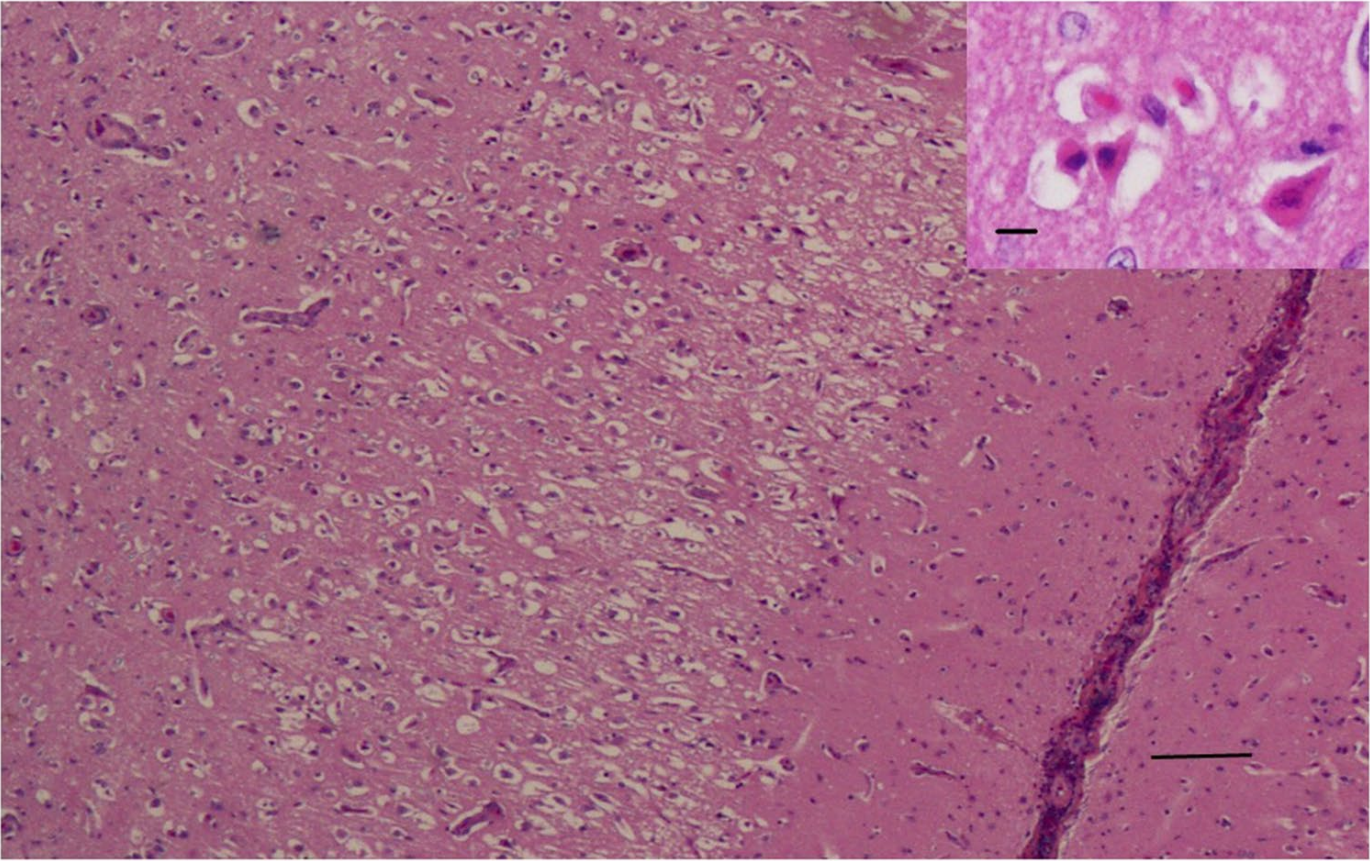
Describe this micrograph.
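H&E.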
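This is cerebral cortex in which a broad, pale, spongy band runs diagonally across the field. Within this band, many neurons lie in clear, empty spaces. The adjacent cortex at the right, next to a congested blood vessel, is more compact and evenly pink.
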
